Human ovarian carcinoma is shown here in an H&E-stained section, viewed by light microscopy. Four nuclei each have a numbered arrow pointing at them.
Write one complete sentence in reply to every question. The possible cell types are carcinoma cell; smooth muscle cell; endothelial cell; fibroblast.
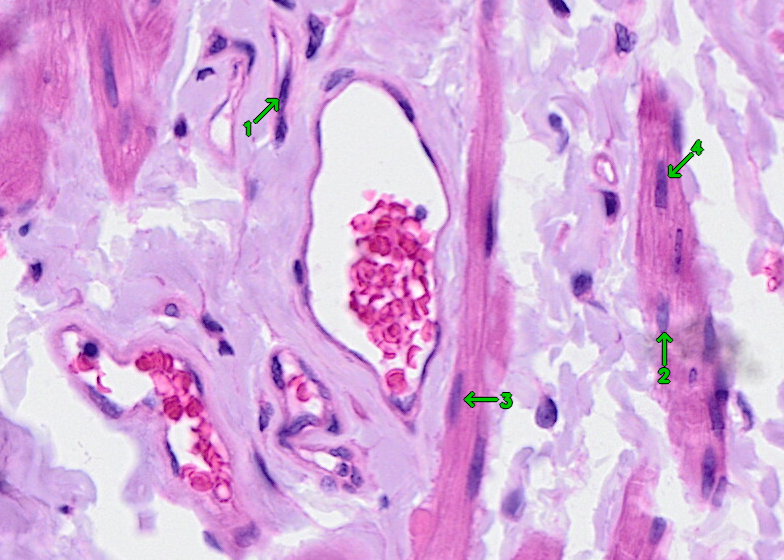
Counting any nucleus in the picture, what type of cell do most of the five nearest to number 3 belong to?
Endothelial cells make up most of the five nuclei closest to number 3.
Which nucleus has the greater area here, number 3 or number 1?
It is nucleus 3, which covers about 2 times the area of nucleus 1.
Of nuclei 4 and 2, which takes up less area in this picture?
The smaller nucleus is 2, and 4 covers roughly 1.5 times its area.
